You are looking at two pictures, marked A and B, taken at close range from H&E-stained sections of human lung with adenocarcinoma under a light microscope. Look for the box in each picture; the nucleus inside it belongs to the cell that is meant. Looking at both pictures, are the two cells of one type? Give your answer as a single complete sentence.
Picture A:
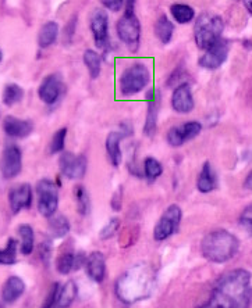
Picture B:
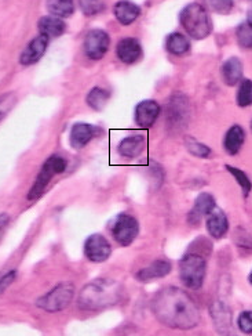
Yes, both are lymphocytes.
